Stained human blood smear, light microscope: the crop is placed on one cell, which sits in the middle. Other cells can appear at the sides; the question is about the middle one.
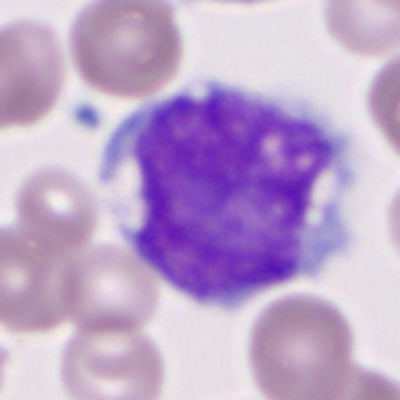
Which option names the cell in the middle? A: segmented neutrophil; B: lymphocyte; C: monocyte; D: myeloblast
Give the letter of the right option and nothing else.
C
